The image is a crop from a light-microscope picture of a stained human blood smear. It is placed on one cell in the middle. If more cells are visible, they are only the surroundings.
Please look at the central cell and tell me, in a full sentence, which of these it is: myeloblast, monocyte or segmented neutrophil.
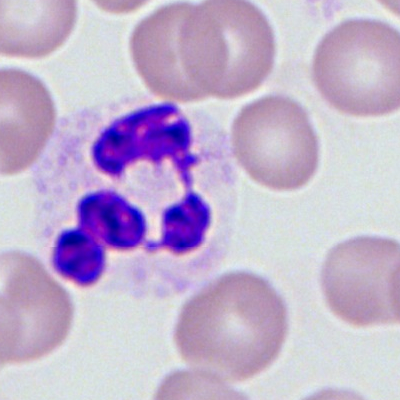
At the middle of the frame sits a segmented neutrophil.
